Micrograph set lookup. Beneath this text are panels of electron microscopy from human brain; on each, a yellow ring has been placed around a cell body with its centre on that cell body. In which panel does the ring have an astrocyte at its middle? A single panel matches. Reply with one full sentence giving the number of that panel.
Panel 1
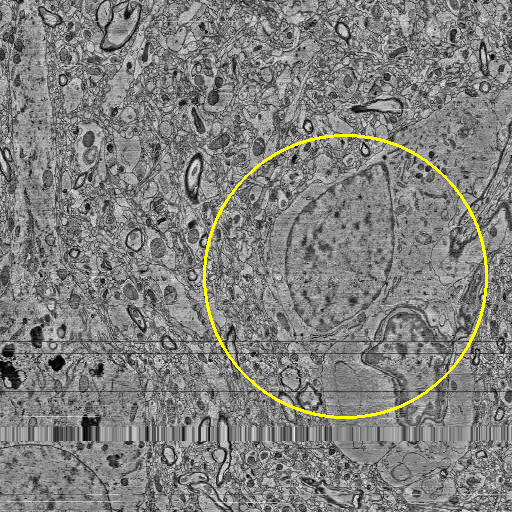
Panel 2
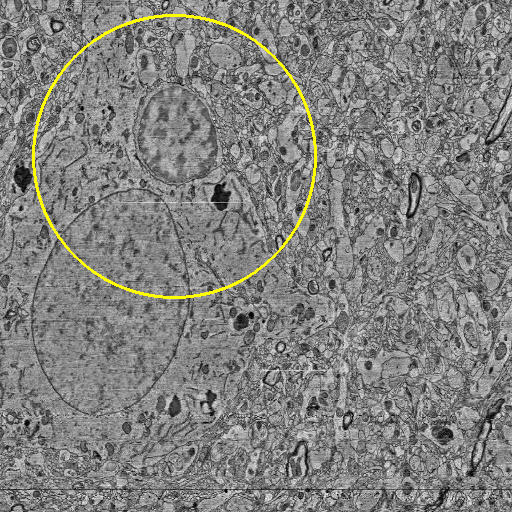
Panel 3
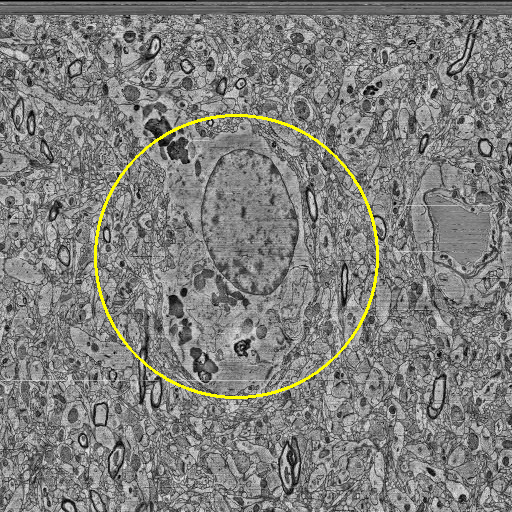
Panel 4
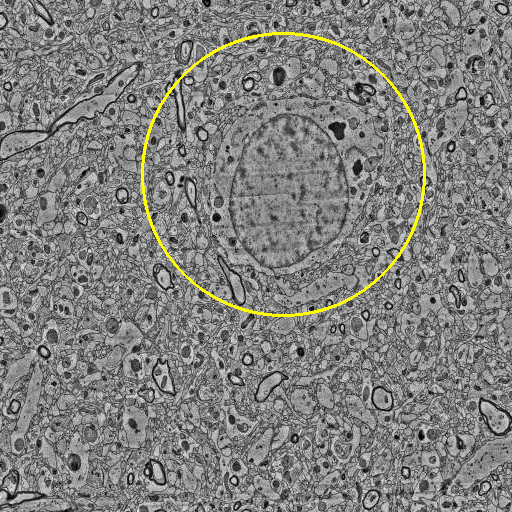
Panel 3 is the one whose ring has the sought cell at its centre.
